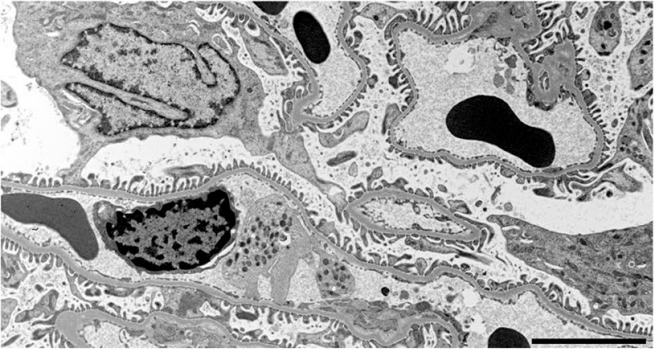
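Glomerular capillary loops are seen, with dense red blood cells in the lumens and cell bodies with large nuclei between the loops. Along the outer face of the thin capillary walls sits a row of small, regularly spaced projections. These are the podocyte foot processes resting on the glomerular capillary wall.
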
